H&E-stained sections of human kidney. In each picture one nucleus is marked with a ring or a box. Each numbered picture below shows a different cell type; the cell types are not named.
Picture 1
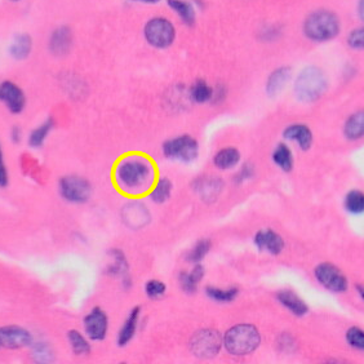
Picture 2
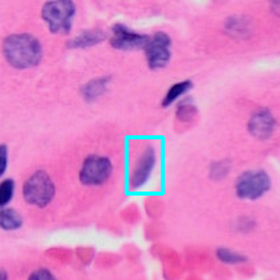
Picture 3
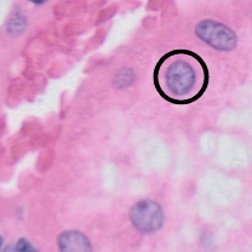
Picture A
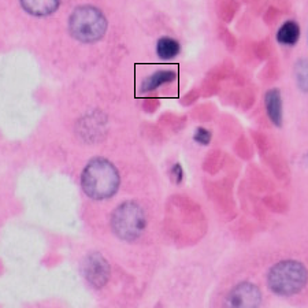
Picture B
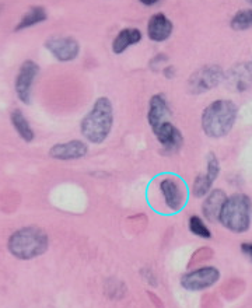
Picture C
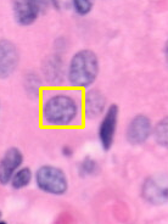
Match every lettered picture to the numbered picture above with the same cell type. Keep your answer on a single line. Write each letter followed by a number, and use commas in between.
A 2, B 2, C 1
